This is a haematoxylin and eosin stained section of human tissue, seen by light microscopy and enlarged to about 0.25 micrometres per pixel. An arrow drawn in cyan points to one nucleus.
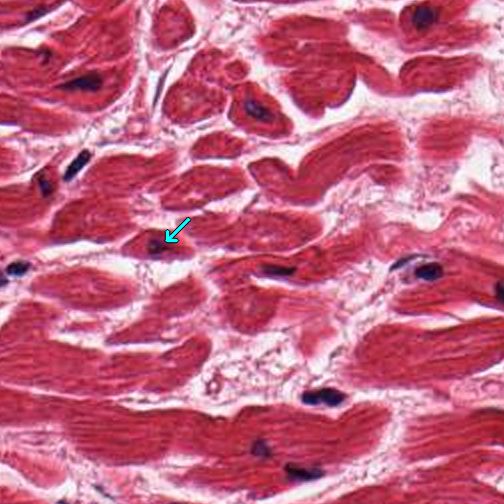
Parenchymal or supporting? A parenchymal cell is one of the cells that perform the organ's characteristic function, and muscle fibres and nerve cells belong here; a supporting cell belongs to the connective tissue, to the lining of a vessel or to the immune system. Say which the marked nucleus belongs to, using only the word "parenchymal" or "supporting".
parenchymal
